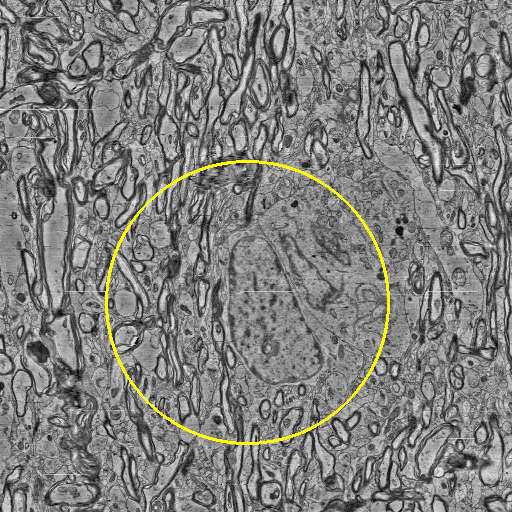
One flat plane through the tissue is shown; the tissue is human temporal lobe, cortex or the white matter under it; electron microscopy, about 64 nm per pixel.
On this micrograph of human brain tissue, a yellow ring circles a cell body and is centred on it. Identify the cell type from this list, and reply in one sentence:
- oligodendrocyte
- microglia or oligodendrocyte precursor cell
The cell at the centre is a microglial cell or oligodendrocyte precursor cell.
